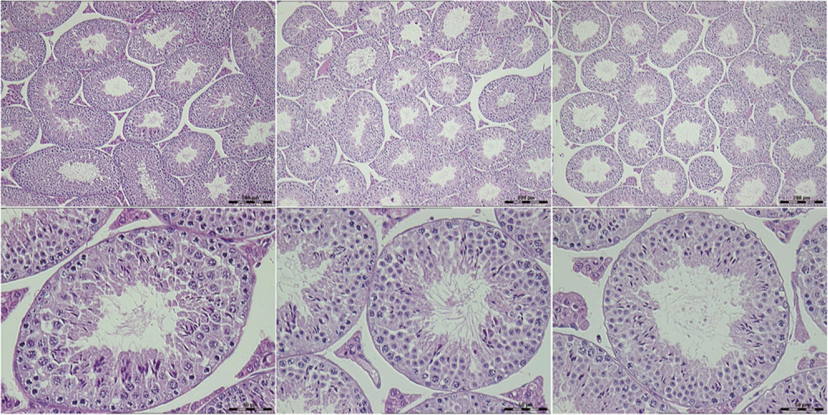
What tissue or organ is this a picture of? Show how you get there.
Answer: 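Testicle. Many round seminiferous tubules cut in cross-section, separated by narrow interstitial spaces. Each tubule has a multilayered epithelium around a central lumen containing tails.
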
